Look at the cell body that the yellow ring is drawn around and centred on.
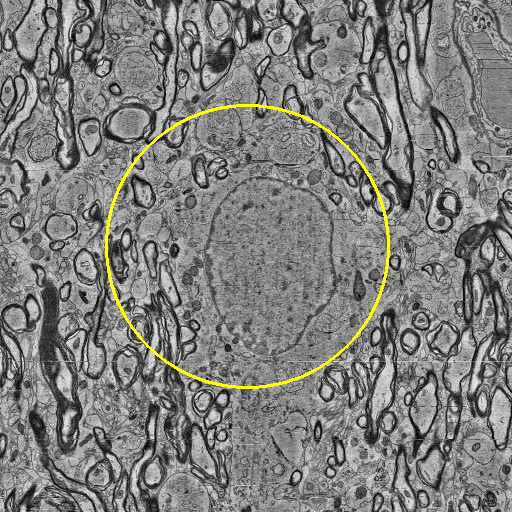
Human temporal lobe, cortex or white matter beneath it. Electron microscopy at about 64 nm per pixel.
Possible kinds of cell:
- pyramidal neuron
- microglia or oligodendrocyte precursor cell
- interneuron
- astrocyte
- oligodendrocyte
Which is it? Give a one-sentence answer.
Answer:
The centred cell body is that of an astrocyte.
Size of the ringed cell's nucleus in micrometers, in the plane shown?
About 12 by 8 micrometers for the nucleus, in this plane.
